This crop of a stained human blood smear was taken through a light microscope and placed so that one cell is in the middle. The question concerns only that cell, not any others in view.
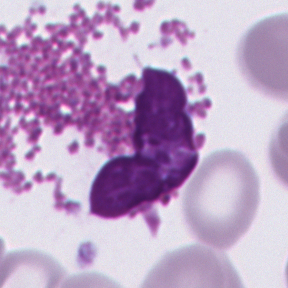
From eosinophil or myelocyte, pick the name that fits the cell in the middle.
eosinophil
